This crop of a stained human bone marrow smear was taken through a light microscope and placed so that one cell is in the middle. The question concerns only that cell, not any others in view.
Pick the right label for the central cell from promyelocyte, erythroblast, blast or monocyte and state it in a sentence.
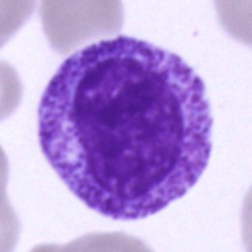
On this slide crop, the central cell is a promyelocyte.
